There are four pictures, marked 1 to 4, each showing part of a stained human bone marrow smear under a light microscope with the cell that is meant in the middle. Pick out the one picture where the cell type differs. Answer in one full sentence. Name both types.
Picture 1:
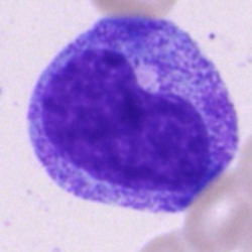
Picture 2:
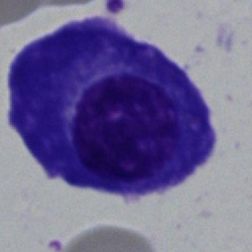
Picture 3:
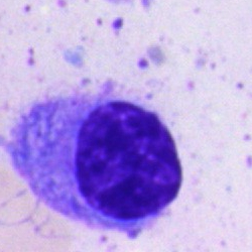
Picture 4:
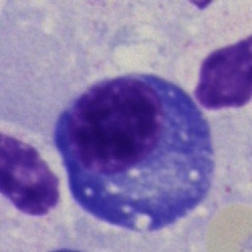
The different one is picture 1; it shows a promyelocyte, whereas all the others show plasma cells.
